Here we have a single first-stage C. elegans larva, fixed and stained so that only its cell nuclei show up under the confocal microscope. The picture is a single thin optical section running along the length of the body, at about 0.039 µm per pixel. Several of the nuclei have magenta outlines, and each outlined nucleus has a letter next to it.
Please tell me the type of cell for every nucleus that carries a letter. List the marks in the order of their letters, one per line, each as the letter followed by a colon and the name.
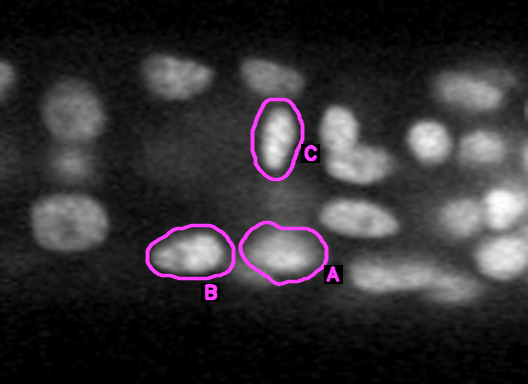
A: cell of the excretory system
B: body wall muscle cell
C: valve cell of the gut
